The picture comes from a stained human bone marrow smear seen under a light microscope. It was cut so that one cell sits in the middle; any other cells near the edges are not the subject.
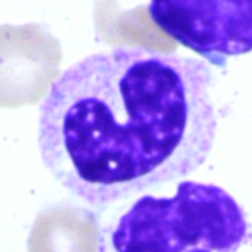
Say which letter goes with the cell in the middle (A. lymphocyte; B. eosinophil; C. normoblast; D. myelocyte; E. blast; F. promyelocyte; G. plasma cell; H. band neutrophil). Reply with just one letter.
H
